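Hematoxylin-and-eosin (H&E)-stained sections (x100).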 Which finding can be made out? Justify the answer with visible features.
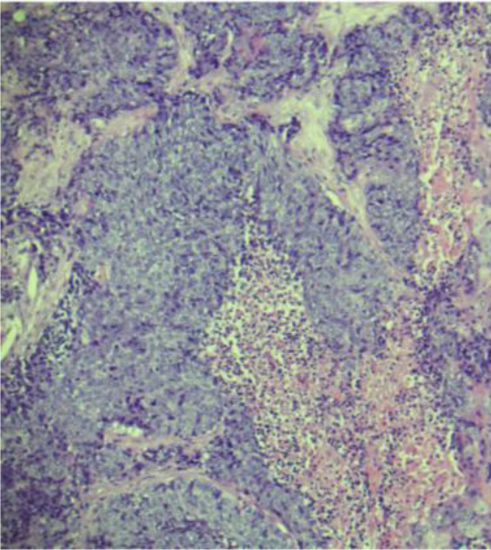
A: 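Poorly differentiated carcinoma. Solid sheets and nests of crowded, dark-staining cells with scant cytoplasm. Nests are separated by thin strands of pale stroma. Little or no gland or organized layer formation in the sheets.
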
